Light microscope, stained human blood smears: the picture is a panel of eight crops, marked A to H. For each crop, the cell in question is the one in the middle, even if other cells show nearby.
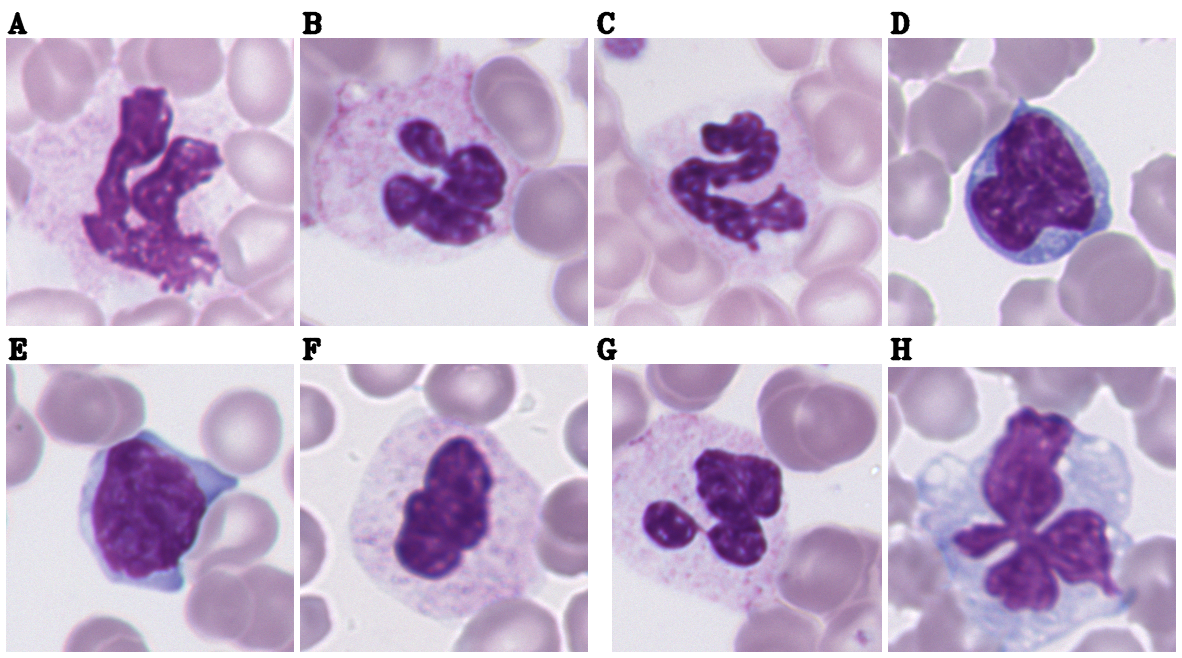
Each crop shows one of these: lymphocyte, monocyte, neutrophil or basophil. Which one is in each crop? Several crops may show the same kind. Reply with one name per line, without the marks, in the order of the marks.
neutrophil
neutrophil
neutrophil
lymphocyte
lymphocyte
neutrophil
neutrophil
monocyte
